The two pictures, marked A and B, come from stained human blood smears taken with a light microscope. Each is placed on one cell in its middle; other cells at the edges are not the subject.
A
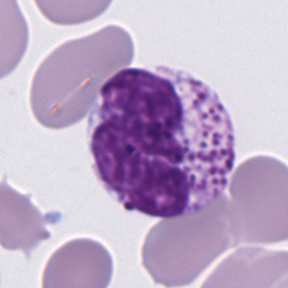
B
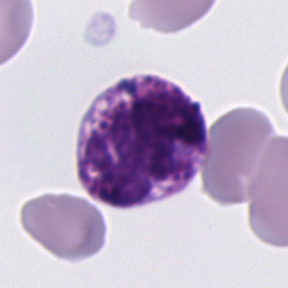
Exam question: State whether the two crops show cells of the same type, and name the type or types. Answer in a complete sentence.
Yes, for both crops, the central cells are basophils.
